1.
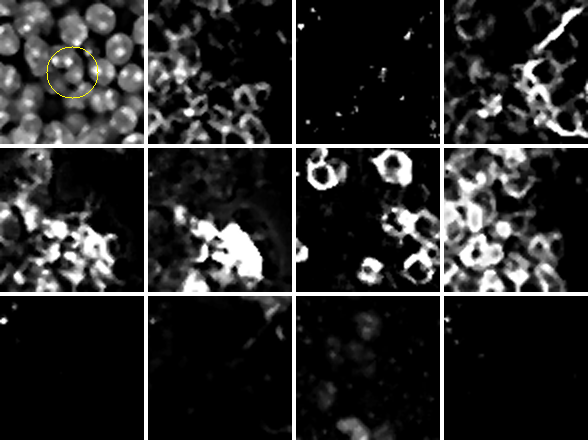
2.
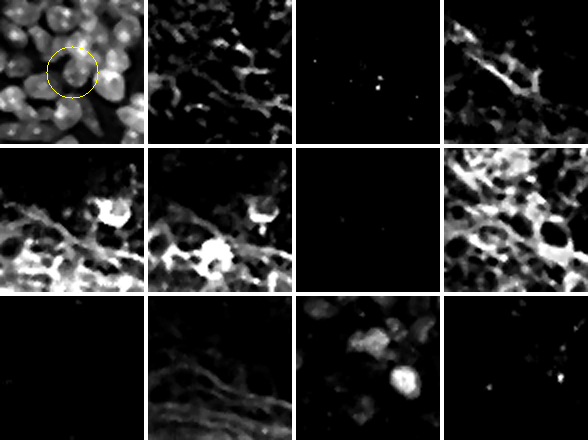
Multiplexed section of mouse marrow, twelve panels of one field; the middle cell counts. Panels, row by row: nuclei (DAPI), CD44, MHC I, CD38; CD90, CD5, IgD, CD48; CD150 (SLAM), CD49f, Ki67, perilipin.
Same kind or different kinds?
Same: capillary endothelial cells.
